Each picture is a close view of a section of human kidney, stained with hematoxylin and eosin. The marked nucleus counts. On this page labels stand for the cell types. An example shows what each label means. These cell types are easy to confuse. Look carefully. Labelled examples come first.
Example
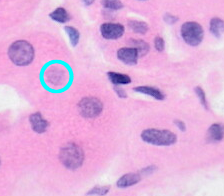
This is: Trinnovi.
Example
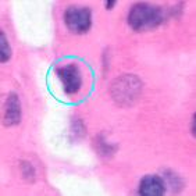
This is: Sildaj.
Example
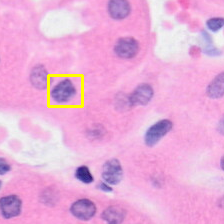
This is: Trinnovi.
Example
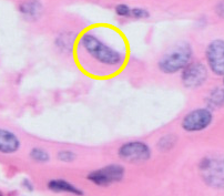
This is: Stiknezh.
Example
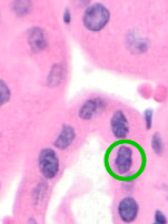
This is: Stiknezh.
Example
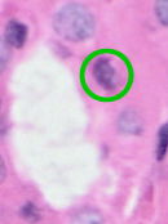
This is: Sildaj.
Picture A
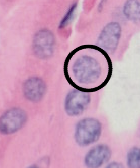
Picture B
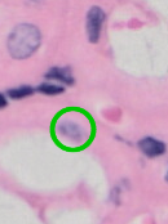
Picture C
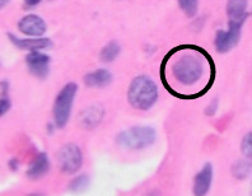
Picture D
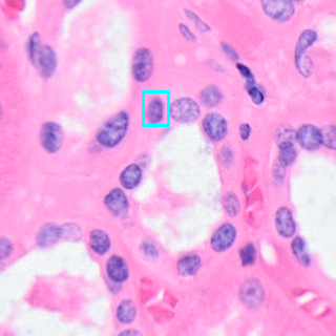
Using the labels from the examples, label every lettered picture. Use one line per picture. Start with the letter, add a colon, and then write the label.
A: Stiknezh.
B: Sildaj.
C: Sildaj.
D: Stiknezh.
